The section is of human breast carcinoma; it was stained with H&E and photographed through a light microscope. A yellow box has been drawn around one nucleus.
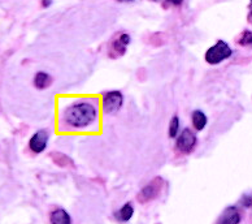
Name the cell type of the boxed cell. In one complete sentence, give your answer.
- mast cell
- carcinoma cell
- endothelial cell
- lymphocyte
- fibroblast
It is a mast cell that the boxed cell represents.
